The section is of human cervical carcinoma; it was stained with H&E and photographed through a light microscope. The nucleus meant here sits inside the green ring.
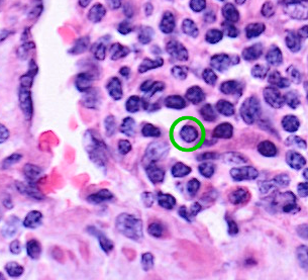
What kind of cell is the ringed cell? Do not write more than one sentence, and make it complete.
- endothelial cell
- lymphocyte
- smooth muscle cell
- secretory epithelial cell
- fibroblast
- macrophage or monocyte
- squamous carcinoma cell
In this tissue section, the ringed cell is to be classed as a lymphocyte.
